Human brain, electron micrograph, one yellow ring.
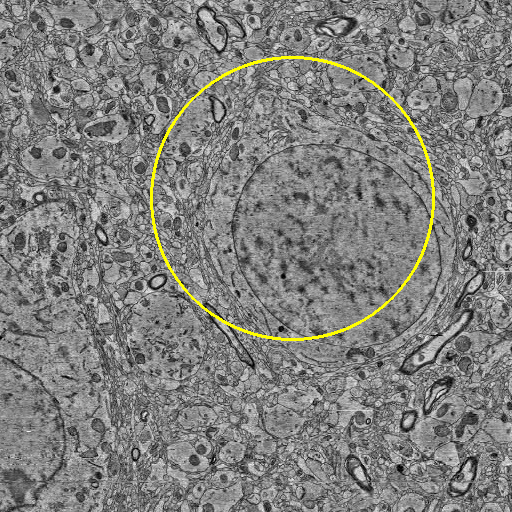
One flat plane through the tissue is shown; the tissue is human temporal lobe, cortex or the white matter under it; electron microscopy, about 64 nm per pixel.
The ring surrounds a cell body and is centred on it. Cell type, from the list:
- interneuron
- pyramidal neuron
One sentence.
The yellow ring circles a pyramidal neuron.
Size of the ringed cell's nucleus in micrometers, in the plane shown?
About 14 by 12 micrometers, in this plane.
